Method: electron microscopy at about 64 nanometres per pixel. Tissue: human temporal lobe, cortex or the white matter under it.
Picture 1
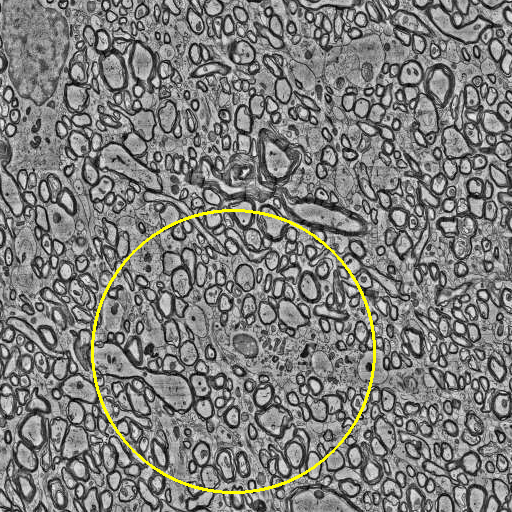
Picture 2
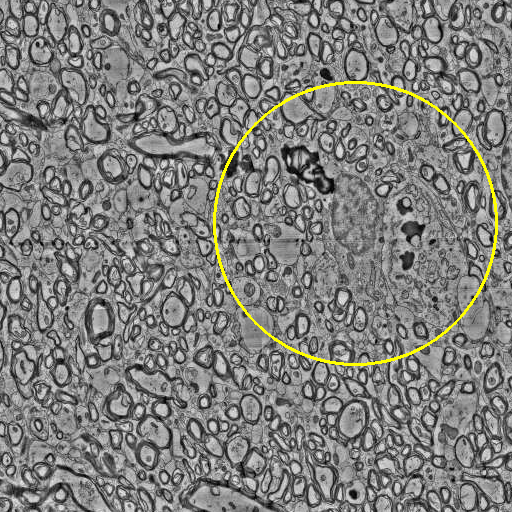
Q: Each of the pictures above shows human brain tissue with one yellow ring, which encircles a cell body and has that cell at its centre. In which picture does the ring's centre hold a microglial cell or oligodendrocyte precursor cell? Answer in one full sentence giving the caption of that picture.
Picture 1 is the one whose ring is centred on the cell in question.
